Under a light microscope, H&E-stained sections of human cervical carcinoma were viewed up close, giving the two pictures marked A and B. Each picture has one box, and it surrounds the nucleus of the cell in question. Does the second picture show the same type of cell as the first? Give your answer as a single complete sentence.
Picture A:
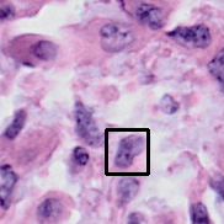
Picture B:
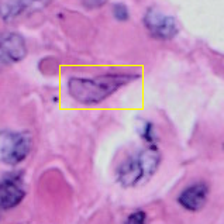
Yes, the two pictures both show “macrophages or monocytes”.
